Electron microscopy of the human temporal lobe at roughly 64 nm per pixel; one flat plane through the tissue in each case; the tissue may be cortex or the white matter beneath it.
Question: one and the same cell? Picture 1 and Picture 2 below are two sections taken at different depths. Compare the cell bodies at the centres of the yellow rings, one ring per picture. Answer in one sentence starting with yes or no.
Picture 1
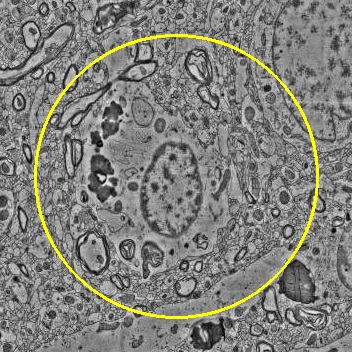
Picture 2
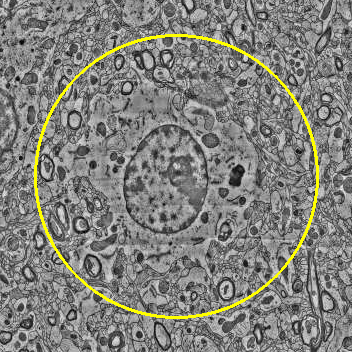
No, the ringed cells are two separate cells.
